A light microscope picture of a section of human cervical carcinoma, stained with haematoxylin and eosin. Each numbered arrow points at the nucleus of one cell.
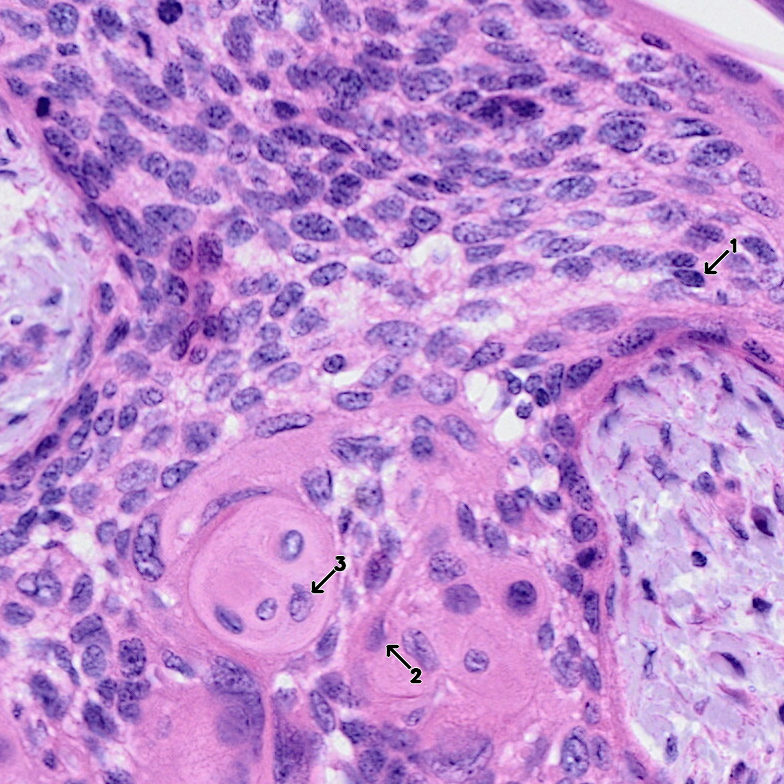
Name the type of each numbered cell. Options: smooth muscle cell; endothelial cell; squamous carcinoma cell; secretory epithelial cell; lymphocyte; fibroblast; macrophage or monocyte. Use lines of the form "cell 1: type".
cell 1: lymphocyte
cell 2: squamous carcinoma cell
cell 3: squamous carcinoma cell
